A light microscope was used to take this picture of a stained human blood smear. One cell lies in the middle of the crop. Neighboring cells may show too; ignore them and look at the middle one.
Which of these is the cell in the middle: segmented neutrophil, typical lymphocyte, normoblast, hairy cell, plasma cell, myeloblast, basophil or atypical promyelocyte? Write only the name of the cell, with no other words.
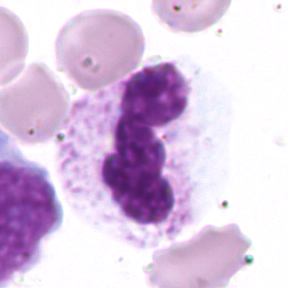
segmented neutrophil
